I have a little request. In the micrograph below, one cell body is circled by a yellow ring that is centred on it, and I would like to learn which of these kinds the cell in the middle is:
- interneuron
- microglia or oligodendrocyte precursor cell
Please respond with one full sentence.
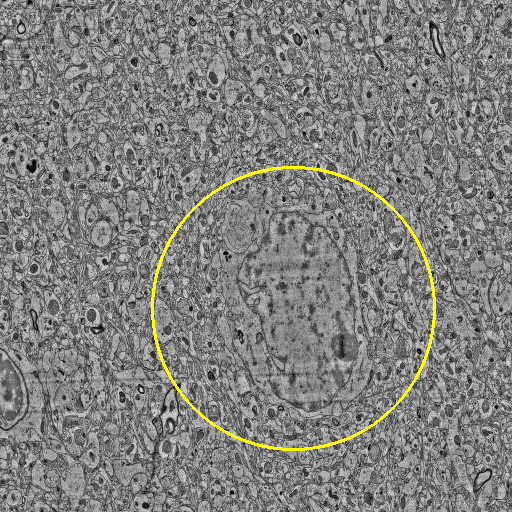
The cell sitting in the middle of the yellow ring in the micrograph is an interneuron.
